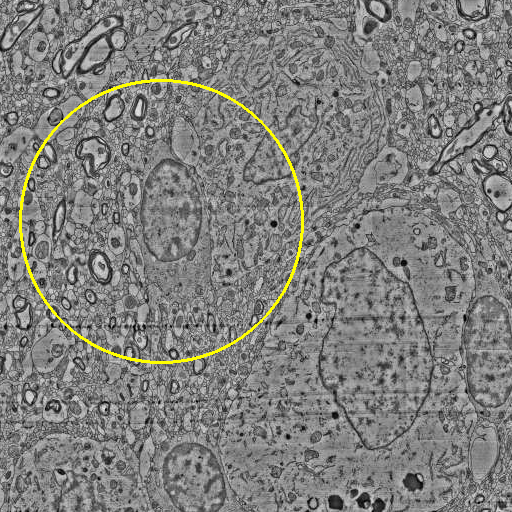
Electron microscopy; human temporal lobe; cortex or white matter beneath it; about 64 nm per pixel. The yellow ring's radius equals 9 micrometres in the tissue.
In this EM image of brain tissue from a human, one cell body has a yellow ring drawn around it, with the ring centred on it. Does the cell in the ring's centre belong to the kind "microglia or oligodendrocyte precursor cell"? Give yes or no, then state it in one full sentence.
No, in the picture, the cell centred in the yellow ring belongs to another kind.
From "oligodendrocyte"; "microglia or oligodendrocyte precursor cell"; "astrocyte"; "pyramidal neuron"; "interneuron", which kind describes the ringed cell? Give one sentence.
It is an oligodendrocyte at the centre of the ring.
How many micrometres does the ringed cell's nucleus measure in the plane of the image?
Roughly 6 micrometres long and 4 micrometres wide; in this plane the nucleus is clearly longer than it is wide.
